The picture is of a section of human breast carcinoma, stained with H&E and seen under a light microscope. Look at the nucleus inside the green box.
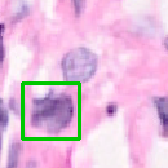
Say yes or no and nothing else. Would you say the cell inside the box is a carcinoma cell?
yes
